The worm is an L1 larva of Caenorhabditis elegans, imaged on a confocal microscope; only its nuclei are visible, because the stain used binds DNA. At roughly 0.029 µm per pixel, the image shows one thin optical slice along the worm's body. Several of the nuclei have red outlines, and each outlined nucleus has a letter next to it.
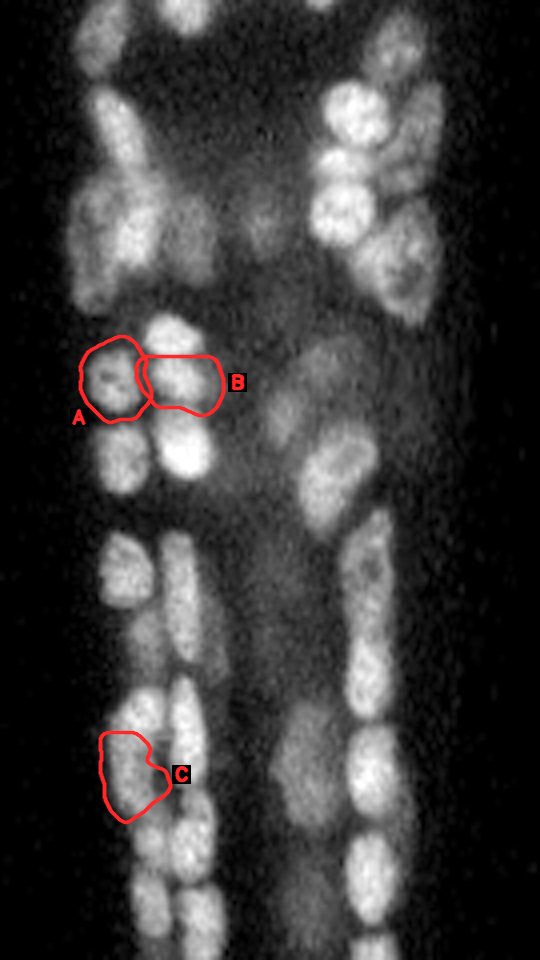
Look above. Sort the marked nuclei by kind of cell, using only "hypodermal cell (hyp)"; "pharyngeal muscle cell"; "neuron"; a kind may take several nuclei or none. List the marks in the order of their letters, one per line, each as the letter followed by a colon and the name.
A: hypodermal cell (hyp)
B: neuron
C: hypodermal cell (hyp)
